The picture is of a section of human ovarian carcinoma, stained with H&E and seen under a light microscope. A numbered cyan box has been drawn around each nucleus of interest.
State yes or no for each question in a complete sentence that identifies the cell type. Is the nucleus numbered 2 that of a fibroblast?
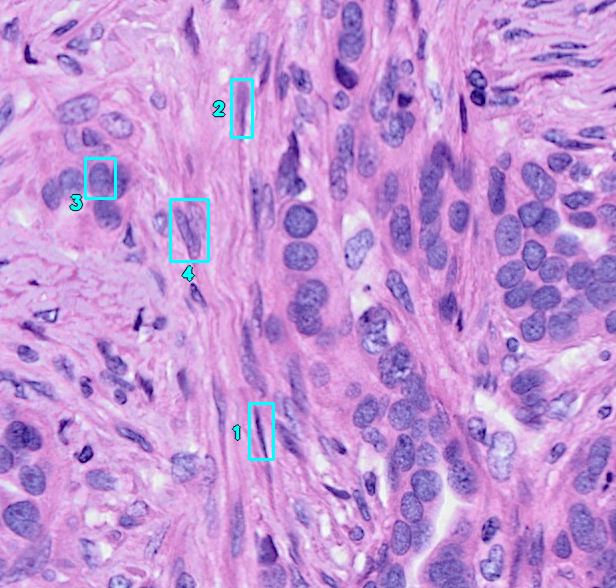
Yes, the cell sitting at number 2 is a fibroblast.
